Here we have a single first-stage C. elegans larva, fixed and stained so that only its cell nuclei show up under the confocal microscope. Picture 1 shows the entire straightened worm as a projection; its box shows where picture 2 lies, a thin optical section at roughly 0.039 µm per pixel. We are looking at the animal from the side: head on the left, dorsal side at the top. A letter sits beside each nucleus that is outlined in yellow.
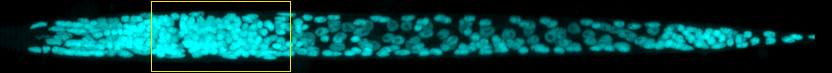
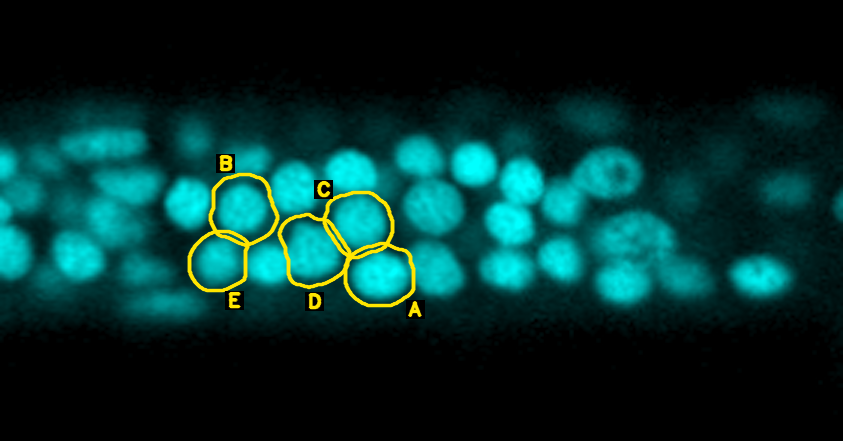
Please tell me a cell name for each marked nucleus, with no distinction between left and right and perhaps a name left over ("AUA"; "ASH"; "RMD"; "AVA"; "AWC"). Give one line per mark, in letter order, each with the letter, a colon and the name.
A: AUA
B: AVA
C: ASH
D: AWC
E: RMD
